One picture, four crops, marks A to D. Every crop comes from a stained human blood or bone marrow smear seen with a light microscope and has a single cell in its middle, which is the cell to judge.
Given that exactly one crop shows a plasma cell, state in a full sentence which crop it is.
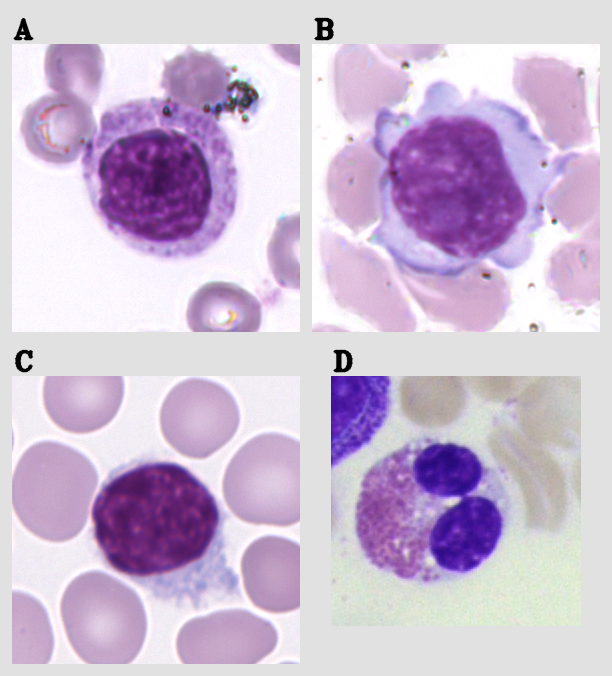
Among the crops given, only crop B shows a plasma cell.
